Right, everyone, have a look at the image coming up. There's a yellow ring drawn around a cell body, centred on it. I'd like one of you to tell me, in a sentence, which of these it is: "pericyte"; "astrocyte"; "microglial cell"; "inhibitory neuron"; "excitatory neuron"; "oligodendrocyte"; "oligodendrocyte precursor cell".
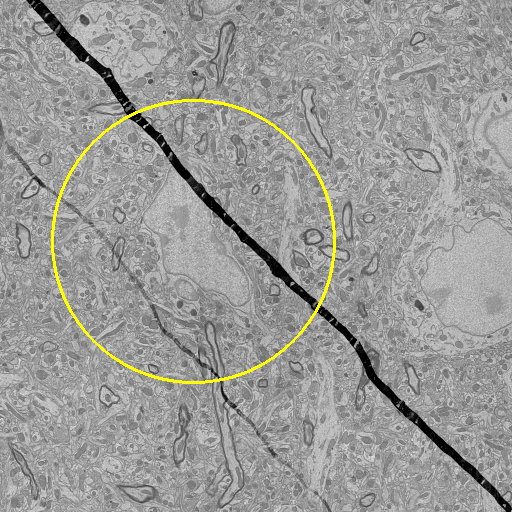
The yellow ring sits on an oligodendrocyte precursor cell.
